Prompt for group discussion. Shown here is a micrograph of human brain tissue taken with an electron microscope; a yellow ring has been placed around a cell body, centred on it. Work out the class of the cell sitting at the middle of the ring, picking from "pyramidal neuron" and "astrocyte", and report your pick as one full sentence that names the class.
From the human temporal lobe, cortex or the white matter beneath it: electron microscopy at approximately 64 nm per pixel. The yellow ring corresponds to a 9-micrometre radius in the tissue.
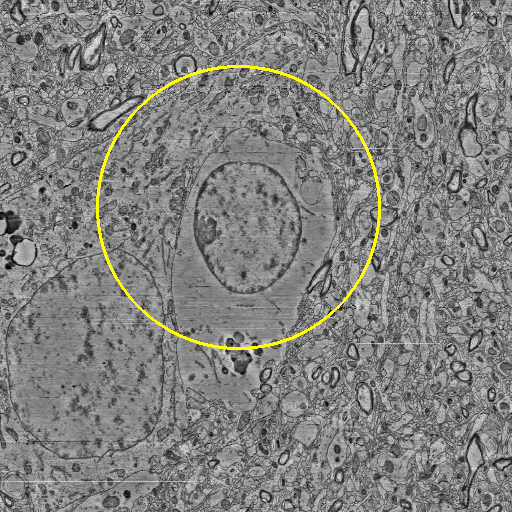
The cell sitting at the middle of the yellow ring is an astrocyte.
